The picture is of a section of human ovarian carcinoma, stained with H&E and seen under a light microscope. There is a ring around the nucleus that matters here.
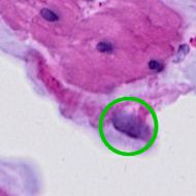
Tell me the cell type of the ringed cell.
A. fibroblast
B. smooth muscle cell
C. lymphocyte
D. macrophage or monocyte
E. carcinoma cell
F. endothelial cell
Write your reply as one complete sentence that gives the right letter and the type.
Here the correct option is F, since the ringed cell is an endothelial cell.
